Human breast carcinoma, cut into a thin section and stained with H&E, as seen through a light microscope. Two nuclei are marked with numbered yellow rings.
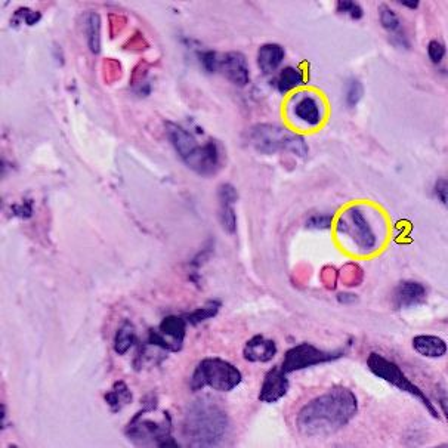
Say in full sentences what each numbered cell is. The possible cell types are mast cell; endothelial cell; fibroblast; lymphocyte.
Cell 1 is a lymphocyte. Cell 2 is an endothelial cell.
